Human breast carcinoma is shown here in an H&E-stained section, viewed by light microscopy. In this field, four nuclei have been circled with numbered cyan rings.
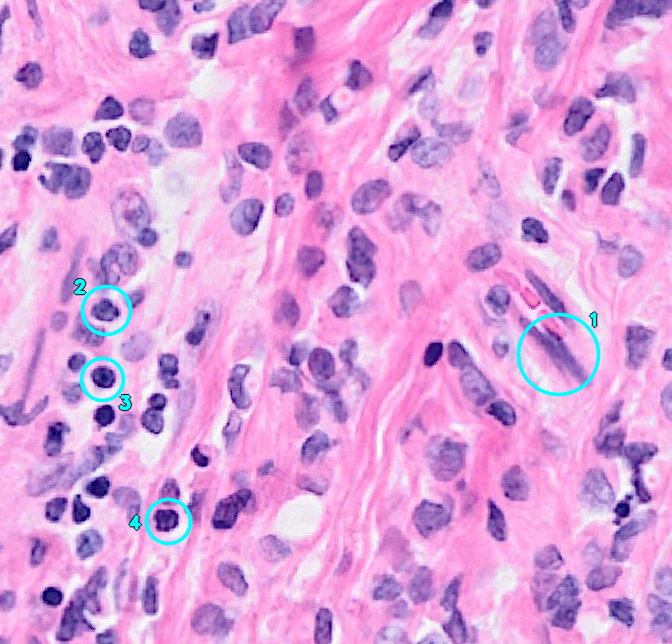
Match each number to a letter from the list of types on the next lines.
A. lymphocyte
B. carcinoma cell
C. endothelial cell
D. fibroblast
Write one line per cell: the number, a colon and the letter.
1: C
2: A
3: A
4: A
